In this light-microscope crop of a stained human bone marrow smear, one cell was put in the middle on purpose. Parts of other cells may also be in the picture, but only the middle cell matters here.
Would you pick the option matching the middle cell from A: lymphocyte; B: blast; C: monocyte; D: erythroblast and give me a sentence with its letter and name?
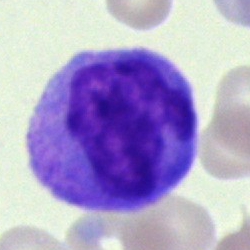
That the central cell is a monocyte makes option C correct.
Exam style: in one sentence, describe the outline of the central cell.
Thanks for asking; the cell edge is smooth and has no projections.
